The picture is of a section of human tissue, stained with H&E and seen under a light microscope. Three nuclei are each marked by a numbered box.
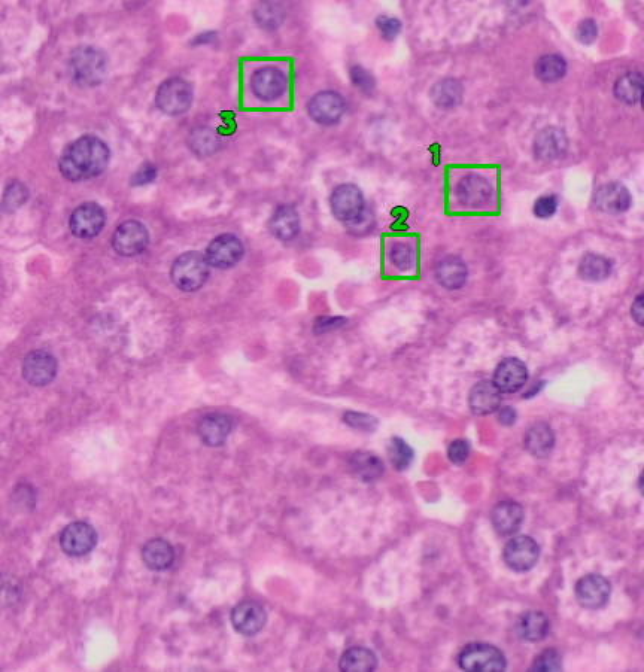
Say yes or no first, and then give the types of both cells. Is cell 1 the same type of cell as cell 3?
Yes, the two cells marked 1 and 3 are both hepatocytes.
